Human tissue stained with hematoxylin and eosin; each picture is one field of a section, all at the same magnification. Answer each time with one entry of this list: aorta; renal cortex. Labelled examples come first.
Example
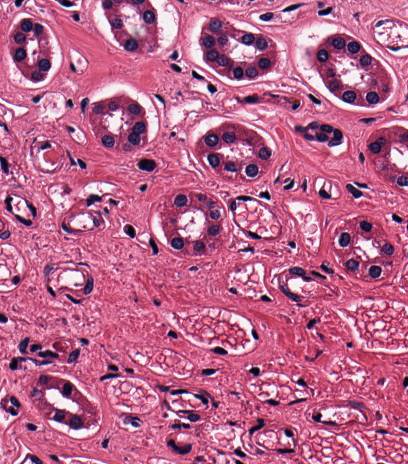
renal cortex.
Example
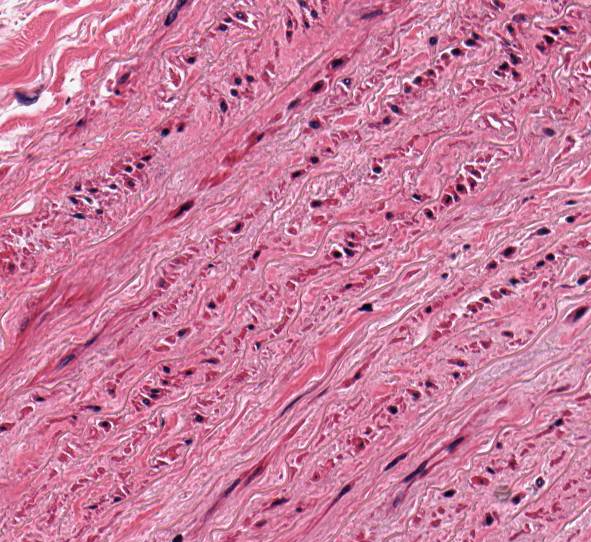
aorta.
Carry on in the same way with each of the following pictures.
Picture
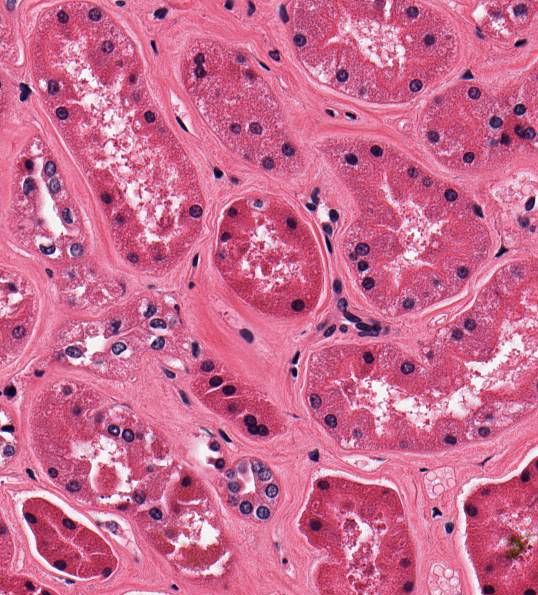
renal cortex.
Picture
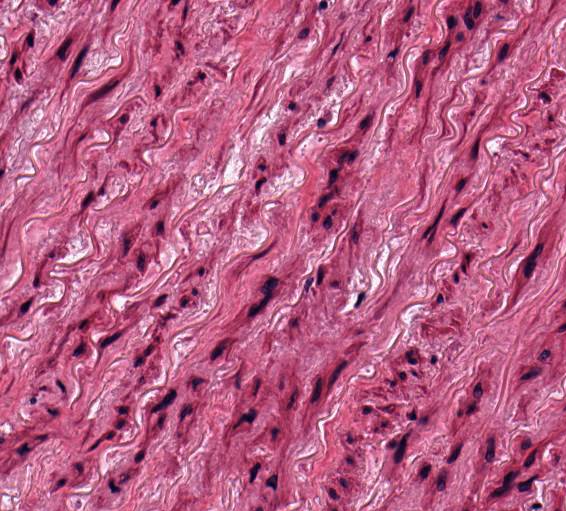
aorta.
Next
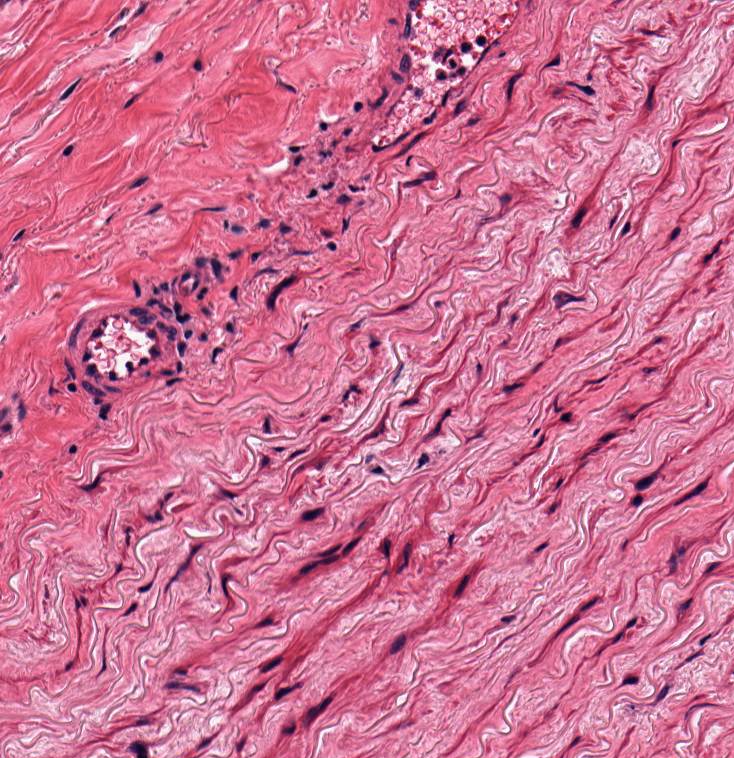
aorta.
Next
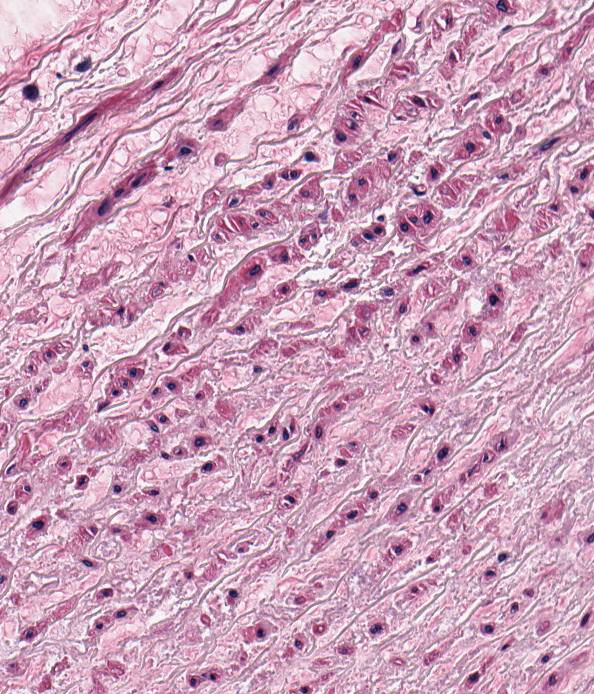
aorta.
